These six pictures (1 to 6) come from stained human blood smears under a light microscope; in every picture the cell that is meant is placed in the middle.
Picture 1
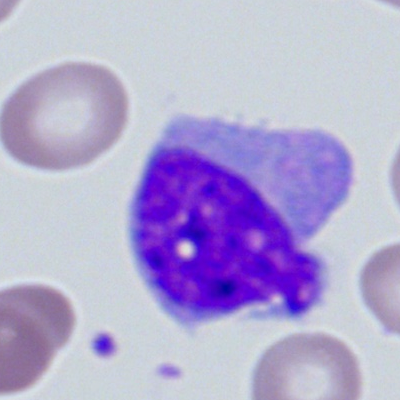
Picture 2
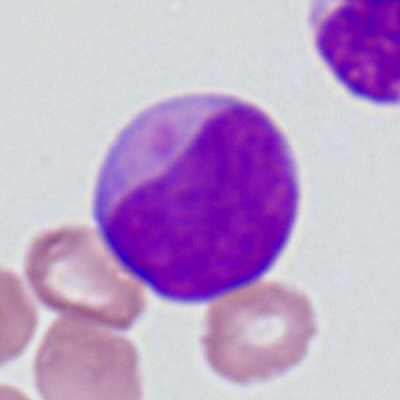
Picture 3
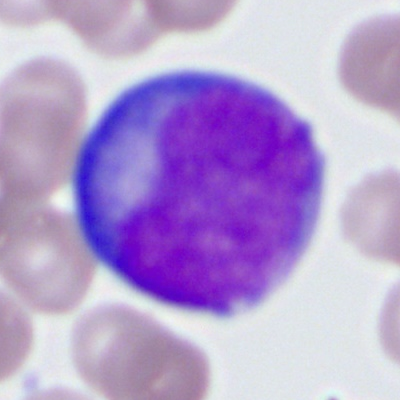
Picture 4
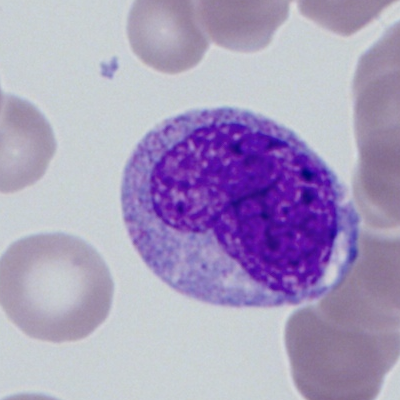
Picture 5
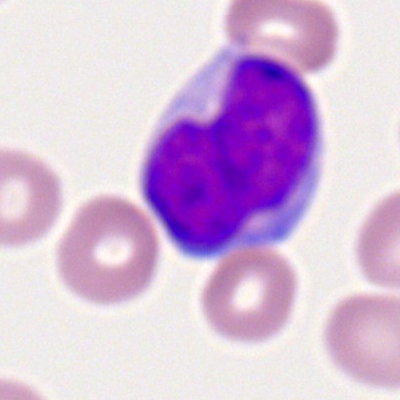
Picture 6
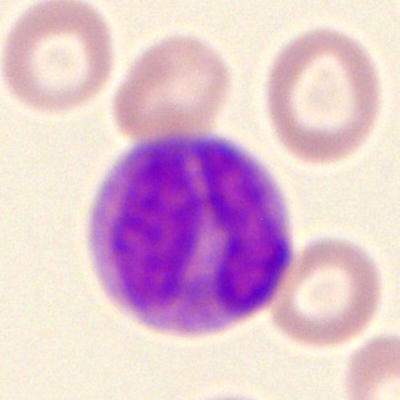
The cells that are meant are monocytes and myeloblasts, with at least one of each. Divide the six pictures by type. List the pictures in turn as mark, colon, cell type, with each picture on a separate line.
1: monocyte
2: myeloblast
3: myeloblast
4: monocyte
5: myeloblast
6: monocyte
